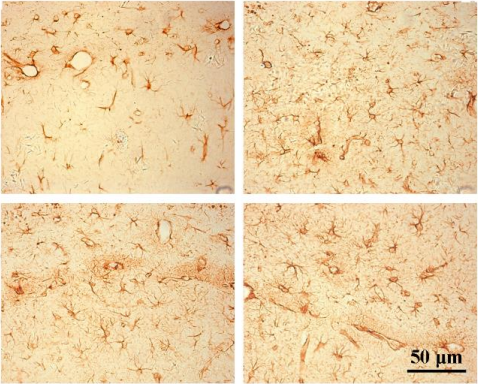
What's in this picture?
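The processes of neighbouring cells approach one another and form a loose meshwork across the field. Some cells send thicker processes toward small round vessel profiles, which appear as pale holes rimmed with brown. In some fields the cells look more densely packed and their processes thicker and more darkly stained than in others.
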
